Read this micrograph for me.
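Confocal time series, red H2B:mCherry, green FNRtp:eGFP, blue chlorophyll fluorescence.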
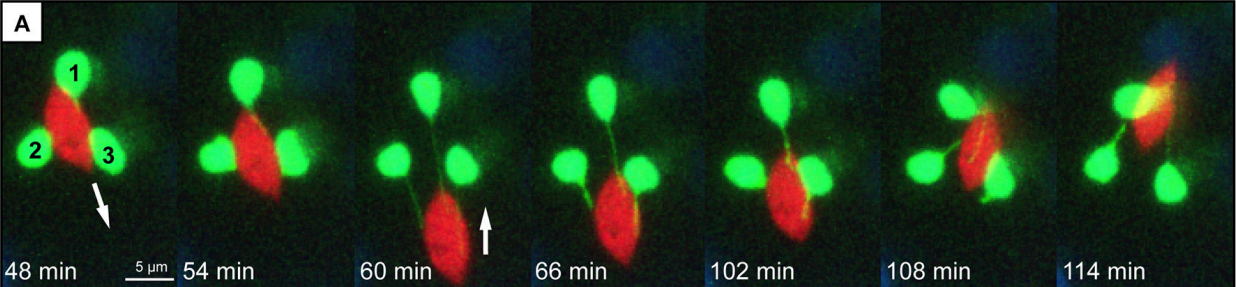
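A row of frames shows three bright green, rounded organelles around one larger, lens-shaped red organelle in a dark background. The red body moves away from the green ones and later comes back, while the three green bodies keep roughly the same place. As the red body moves off, thin green threads stretch out from the green bodies toward it. When the red body returns, the threads become short again. The green bodies are plastids, the red body is the nucleus, and the threads are stromules drawn out of the plastids.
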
